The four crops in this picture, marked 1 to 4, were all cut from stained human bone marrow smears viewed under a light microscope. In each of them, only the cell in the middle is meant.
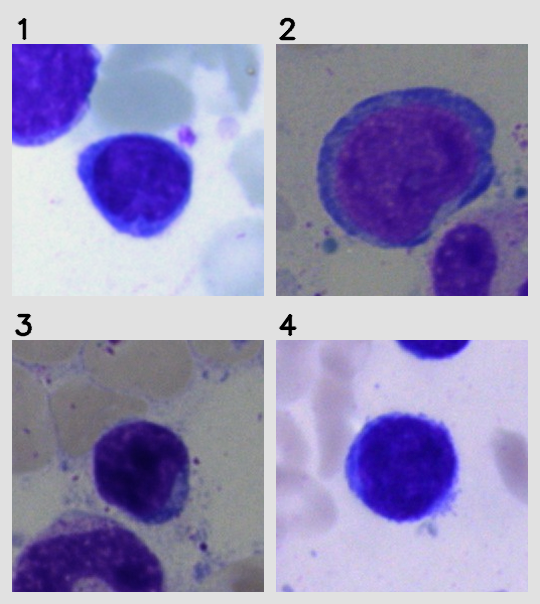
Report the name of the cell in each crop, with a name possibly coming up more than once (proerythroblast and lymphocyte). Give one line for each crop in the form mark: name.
1: lymphocyte
2: proerythroblast
3: lymphocyte
4: lymphocyte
